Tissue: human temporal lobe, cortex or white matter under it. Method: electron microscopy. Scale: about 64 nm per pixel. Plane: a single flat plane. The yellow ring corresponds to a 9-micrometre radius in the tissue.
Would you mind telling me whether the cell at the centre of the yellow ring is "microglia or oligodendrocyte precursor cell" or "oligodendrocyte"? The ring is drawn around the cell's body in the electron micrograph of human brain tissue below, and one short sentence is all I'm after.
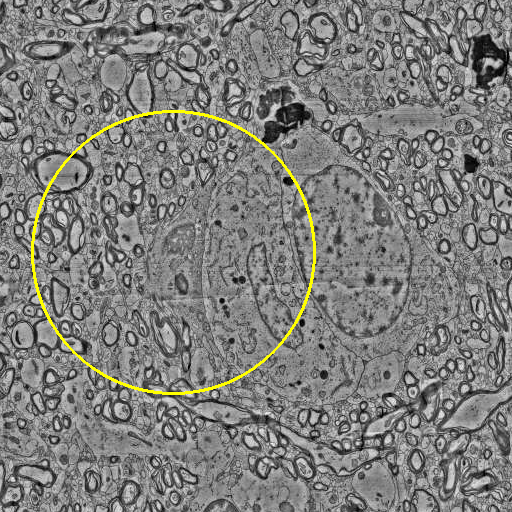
In the centre of the ring lies an oligodendrocyte.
